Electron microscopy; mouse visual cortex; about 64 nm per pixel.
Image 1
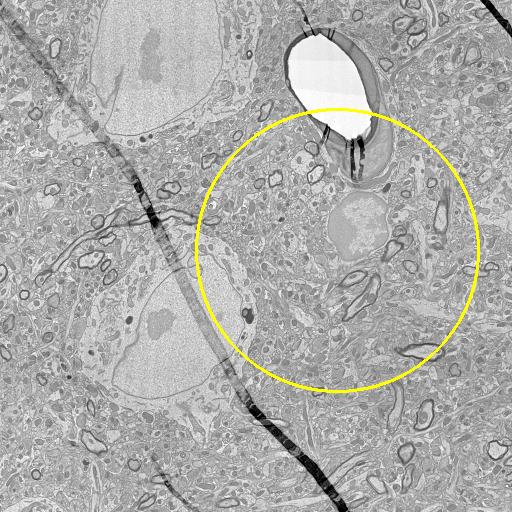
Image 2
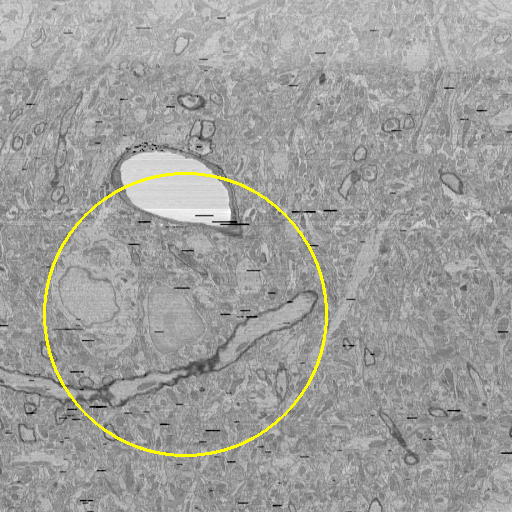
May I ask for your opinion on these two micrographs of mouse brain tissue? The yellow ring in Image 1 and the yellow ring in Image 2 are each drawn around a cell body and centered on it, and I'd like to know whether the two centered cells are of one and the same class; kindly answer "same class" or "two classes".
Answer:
same class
